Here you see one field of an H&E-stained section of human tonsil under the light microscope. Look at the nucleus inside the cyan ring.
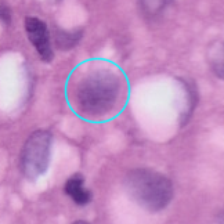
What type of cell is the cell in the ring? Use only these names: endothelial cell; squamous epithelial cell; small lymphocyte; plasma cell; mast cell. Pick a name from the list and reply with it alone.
squamous epithelial cell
